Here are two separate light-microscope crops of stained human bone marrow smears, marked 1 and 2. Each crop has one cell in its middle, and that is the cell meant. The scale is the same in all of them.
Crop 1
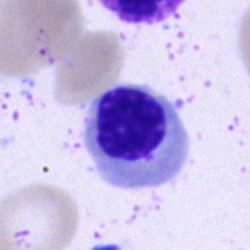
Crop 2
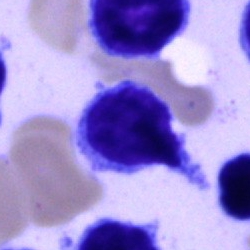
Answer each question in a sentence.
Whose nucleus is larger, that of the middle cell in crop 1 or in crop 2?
Crop 2 shows the larger nucleus; it covers about 1.5 times the area of the nucleus in crop 1.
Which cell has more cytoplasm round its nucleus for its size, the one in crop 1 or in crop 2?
In crop 1 the nucleus takes up the smaller part of its cell.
